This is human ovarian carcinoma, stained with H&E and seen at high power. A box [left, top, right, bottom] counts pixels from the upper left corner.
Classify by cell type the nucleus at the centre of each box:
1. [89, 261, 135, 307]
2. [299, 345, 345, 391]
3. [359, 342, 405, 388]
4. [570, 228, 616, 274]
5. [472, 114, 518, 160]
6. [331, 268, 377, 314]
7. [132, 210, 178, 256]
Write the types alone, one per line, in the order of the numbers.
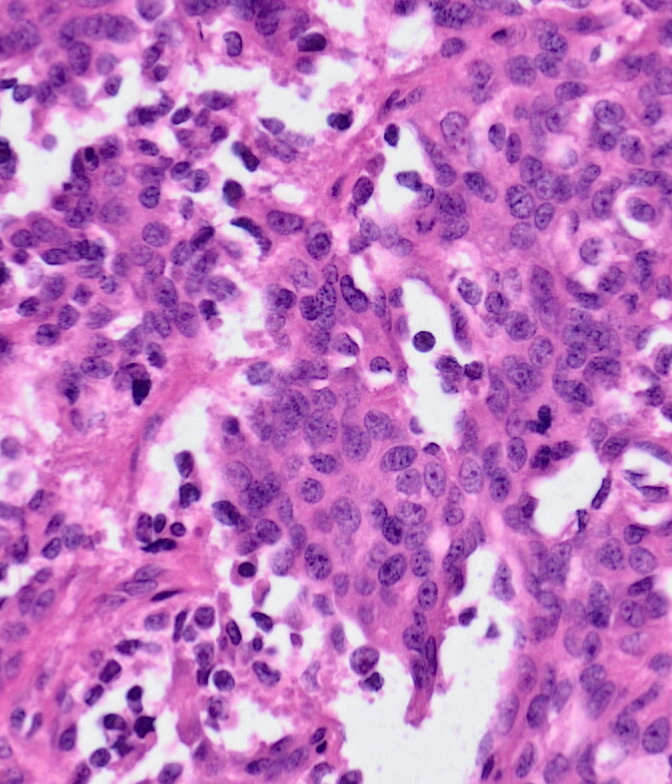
macrophage or monocyte
carcinoma cell
macrophage or monocyte
macrophage or monocyte
macrophage or monocyte
carcinoma cell
carcinoma cell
